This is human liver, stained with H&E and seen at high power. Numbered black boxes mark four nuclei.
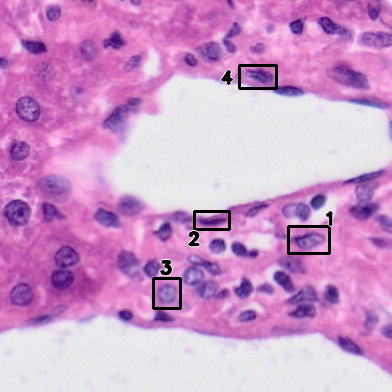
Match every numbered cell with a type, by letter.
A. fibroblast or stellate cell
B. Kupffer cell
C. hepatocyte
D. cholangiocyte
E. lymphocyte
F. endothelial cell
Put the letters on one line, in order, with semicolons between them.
A; A; D; A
